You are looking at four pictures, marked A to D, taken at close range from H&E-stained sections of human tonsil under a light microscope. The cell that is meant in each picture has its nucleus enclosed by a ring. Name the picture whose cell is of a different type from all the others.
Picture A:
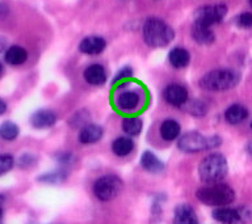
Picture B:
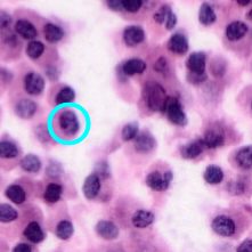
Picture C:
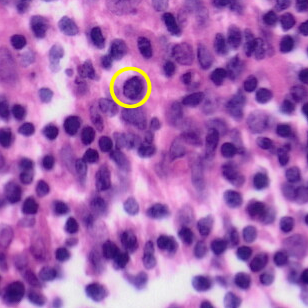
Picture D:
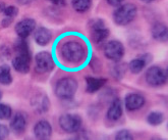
C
